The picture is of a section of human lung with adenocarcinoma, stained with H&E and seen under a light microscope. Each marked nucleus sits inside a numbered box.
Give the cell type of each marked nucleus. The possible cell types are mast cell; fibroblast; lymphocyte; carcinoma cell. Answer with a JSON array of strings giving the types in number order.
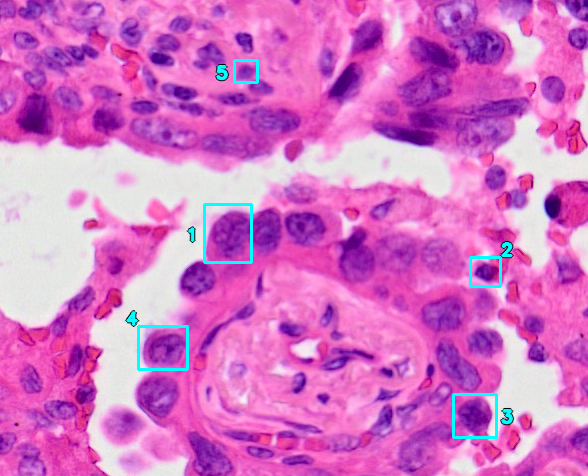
["carcinoma cell", "lymphocyte", "carcinoma cell", "carcinoma cell", "lymphocyte"]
